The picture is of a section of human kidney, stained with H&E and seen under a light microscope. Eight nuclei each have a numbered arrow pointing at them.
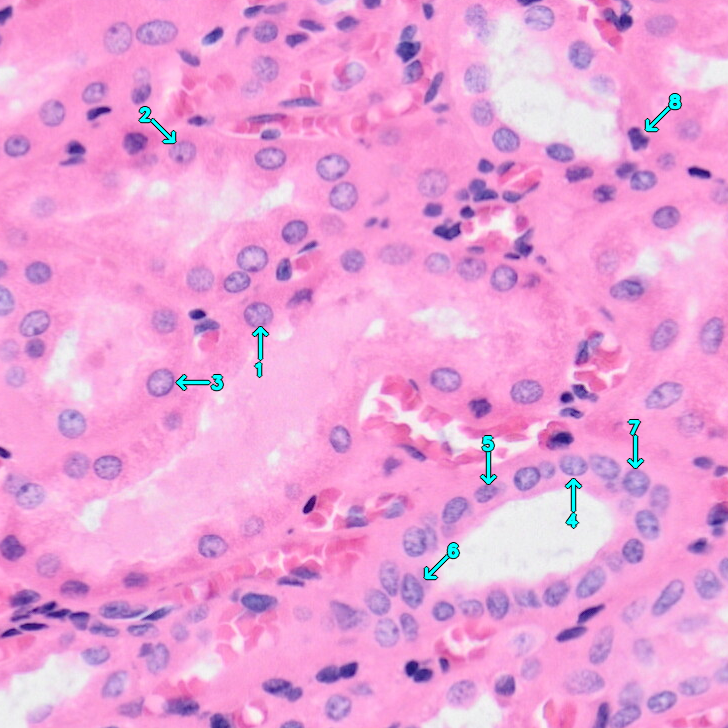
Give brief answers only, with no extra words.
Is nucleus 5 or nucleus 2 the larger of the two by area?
2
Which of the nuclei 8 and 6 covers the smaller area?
8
